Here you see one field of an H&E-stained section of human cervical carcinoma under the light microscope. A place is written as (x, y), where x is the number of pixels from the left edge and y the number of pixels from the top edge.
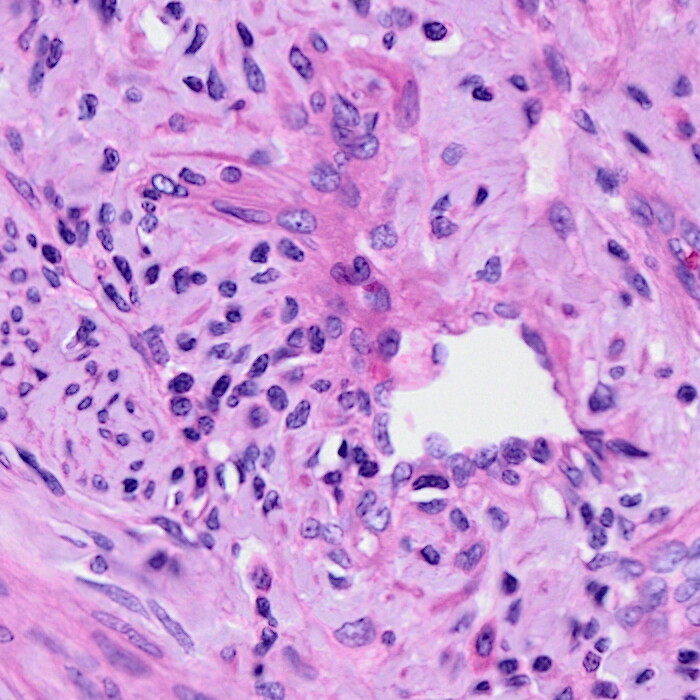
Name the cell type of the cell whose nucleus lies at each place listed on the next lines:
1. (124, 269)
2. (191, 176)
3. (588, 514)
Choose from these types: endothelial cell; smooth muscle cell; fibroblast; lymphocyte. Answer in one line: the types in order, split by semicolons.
lymphocyte; smooth muscle cell; lymphocyte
